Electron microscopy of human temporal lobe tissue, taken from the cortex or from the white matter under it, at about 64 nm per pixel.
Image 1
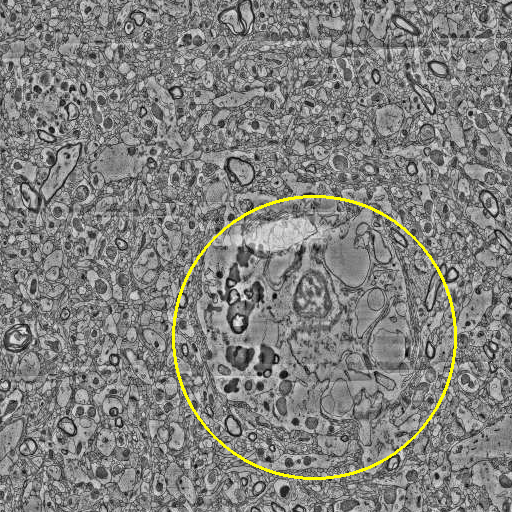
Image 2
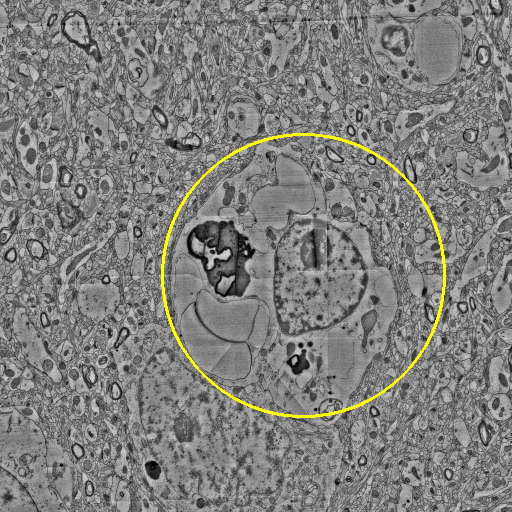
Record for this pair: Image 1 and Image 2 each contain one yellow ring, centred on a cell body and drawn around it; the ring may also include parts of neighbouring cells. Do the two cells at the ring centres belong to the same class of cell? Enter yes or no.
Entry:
yes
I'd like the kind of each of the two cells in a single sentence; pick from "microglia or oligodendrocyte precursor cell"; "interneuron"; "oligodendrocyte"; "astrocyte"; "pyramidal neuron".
Each cell at the centre of a ring is an astrocyte.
